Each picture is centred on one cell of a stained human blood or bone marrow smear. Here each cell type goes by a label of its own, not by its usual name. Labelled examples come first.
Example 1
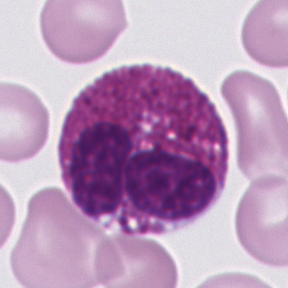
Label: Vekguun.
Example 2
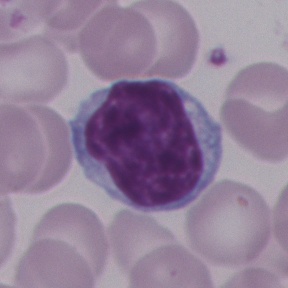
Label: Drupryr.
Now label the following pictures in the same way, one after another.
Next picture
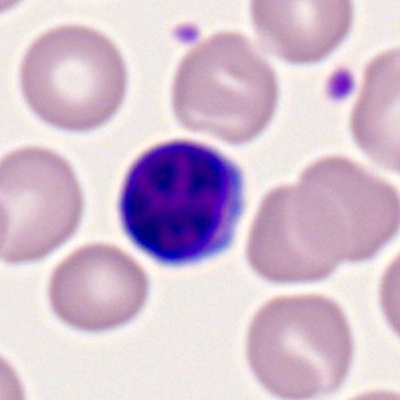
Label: Drupryr.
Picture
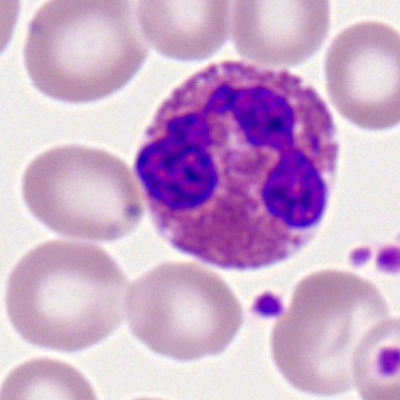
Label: Vekguun.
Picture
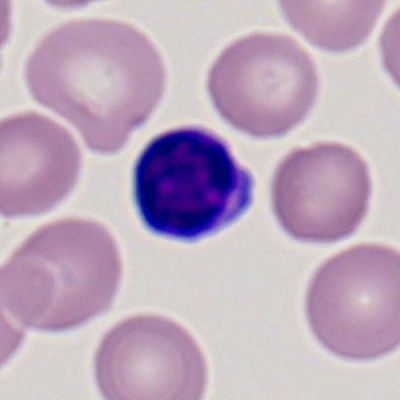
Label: Drupryr.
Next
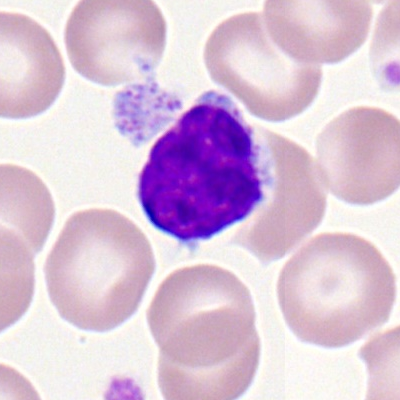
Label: Drupryr.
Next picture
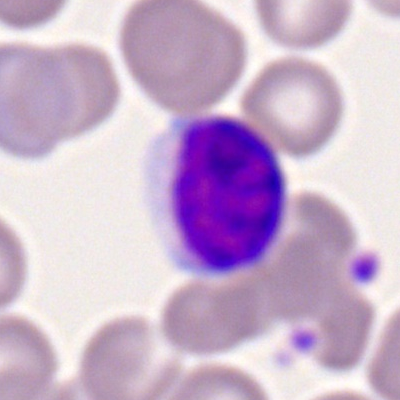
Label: Drupryr.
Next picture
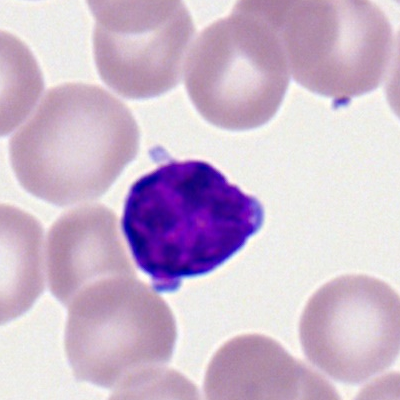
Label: Drupryr.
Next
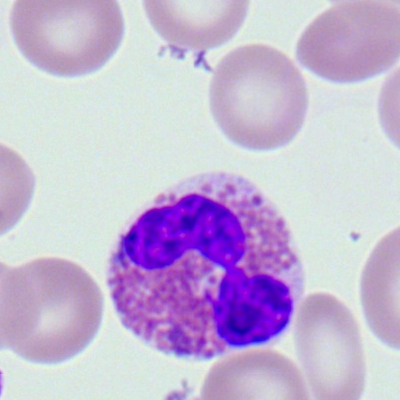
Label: Vekguun.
